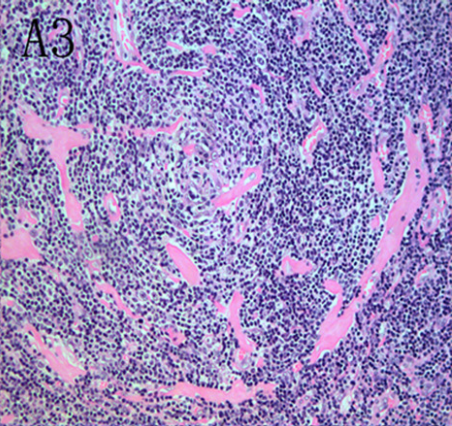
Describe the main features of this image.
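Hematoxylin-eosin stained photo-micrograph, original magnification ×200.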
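This lymphoid tissue shows a prominent proliferation of blood vessels amid sheets of mixed inflammatory cells. Most of the cells are small lymphocytes with round, dark-staining nuclei and very little cytoplasm, lying densely packed. Numerous elongated and branching vessels with thick, homogeneous pink walls cut through the cell sheets. Some of these vessels form a curving arc that outlines a rounded cellular region.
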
